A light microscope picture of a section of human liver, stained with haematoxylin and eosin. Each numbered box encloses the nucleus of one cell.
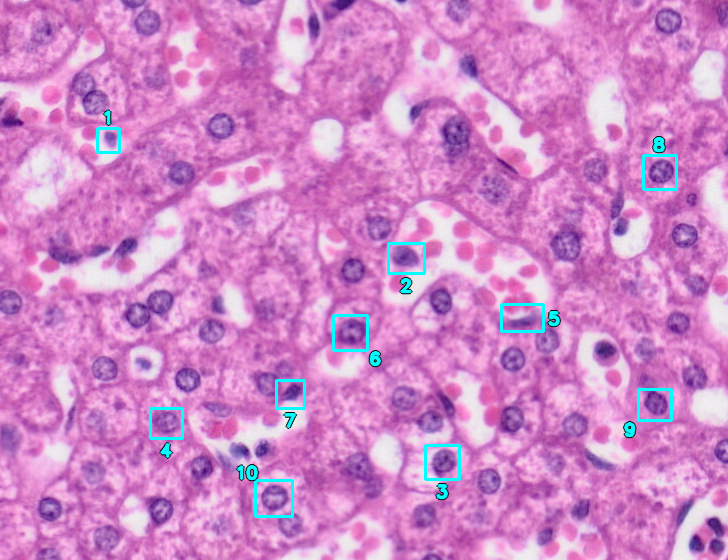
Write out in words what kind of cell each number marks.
Cell 1 is a lymphocyte. Cell 2 is a Kupffer cell. Cells 3, 4, 6, 8, 9 and 10 are hepatocytes. Cell 5 is an endothelial cell. Cell 7 is a fibroblast or stellate cell.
